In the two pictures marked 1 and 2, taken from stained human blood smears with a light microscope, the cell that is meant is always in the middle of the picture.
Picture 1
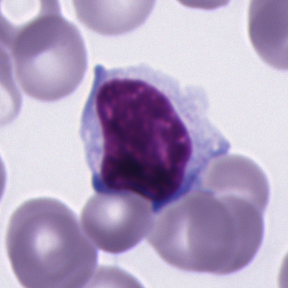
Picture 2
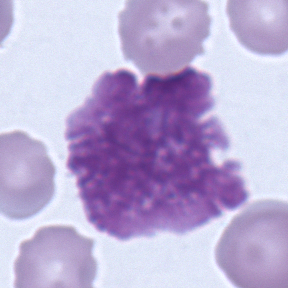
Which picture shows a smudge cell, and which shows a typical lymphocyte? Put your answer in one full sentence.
The cell in picture 1 is a typical lymphocyte, and the one in picture 2 is a smudge cell.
